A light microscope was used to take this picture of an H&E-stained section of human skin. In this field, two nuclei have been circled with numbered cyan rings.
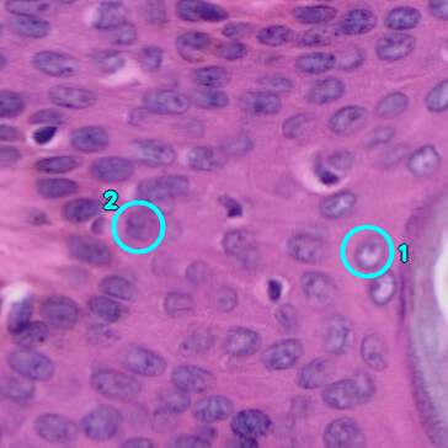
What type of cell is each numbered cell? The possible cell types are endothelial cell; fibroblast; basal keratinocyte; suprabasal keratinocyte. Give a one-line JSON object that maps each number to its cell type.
{"1": "suprabasal keratinocyte", "2": "basal keratinocyte"}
